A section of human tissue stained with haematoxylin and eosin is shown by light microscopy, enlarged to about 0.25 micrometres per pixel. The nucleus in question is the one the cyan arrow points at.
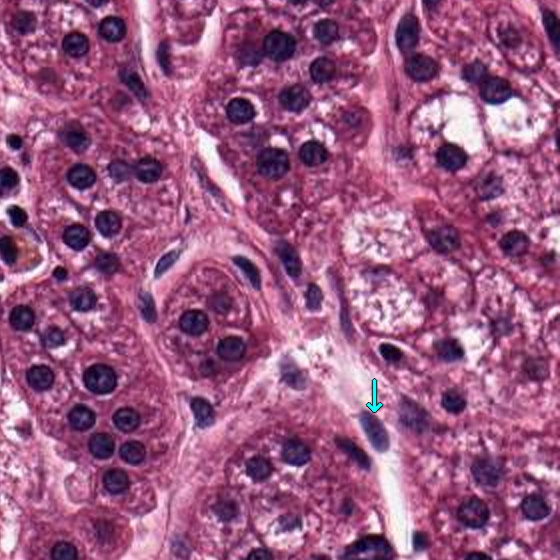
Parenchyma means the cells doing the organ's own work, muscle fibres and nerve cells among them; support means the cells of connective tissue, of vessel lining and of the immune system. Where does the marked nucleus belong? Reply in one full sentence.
The marked nucleus is held by a supporting cell.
